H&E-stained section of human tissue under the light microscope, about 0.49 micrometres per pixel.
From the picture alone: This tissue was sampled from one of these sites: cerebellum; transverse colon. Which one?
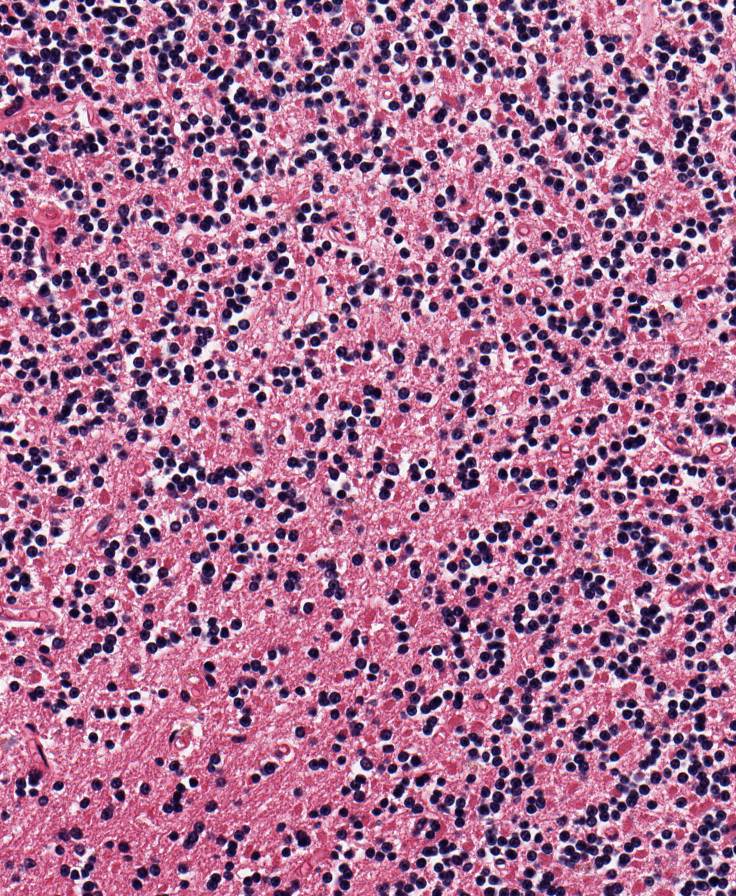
cerebellum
